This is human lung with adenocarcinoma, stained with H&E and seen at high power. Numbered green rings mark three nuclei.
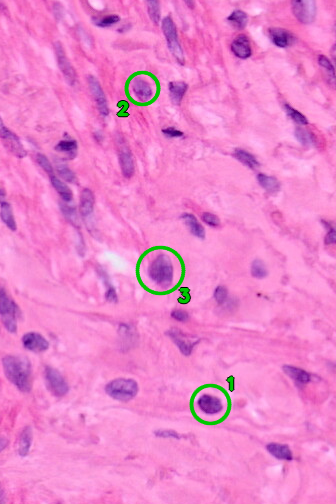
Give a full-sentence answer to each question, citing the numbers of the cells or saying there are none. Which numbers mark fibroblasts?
Only the cell numbered 3 is a fibroblast, and the others are something else.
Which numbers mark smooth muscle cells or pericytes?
Of the cells marked with numbers, cell 2 is the only one that is a smooth muscle cell or pericyte.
